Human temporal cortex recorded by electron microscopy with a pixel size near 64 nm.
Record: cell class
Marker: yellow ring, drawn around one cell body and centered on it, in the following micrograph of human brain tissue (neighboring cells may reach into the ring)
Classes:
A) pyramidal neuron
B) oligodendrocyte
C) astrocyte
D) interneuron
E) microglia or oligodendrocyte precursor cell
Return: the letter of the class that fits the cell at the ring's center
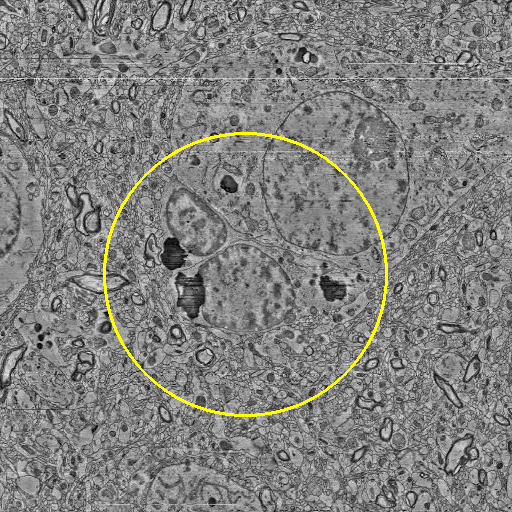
B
